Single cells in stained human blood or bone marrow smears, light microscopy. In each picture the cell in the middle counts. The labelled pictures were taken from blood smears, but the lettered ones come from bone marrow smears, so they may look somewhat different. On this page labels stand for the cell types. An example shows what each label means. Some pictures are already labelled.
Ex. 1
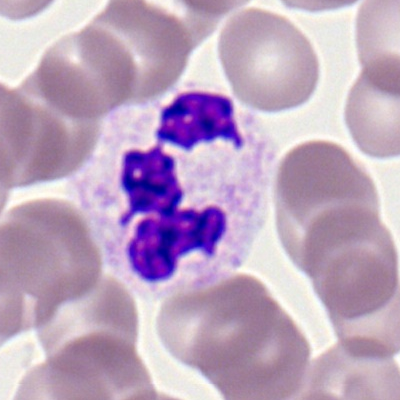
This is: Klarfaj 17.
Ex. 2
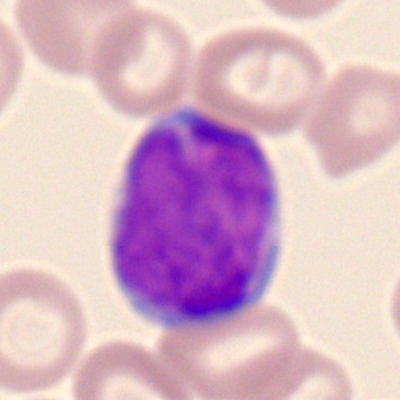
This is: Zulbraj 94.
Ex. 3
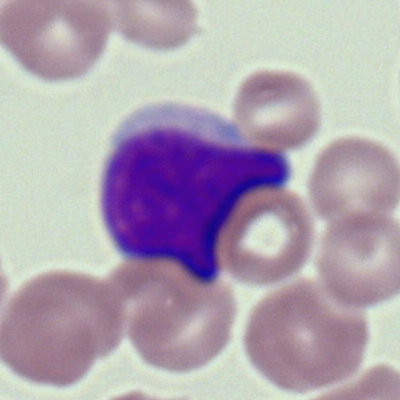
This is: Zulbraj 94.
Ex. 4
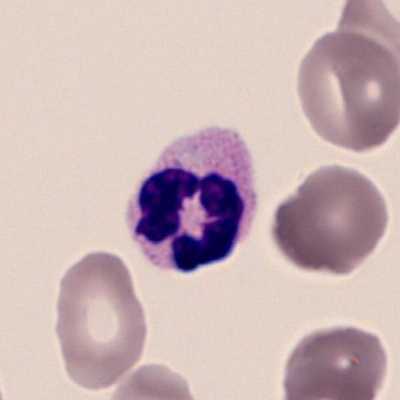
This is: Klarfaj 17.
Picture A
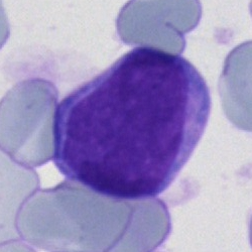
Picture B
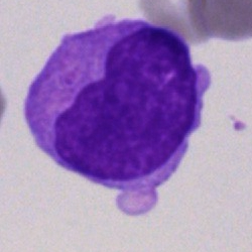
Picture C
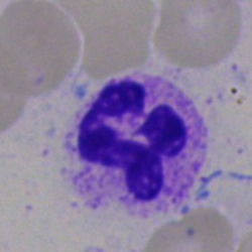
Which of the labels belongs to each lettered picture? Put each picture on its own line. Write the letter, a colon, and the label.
A: Zulbraj 94.
B: Zulbraj 94.
C: Klarfaj 17.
